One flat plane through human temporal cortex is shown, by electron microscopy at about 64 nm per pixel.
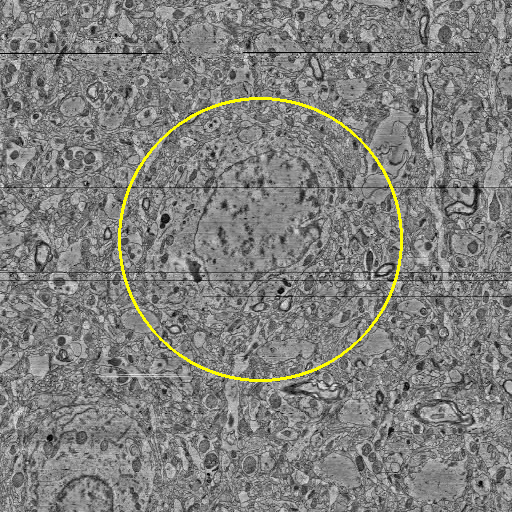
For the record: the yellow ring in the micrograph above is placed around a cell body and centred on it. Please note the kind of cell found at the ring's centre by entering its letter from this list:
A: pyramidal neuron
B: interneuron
B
